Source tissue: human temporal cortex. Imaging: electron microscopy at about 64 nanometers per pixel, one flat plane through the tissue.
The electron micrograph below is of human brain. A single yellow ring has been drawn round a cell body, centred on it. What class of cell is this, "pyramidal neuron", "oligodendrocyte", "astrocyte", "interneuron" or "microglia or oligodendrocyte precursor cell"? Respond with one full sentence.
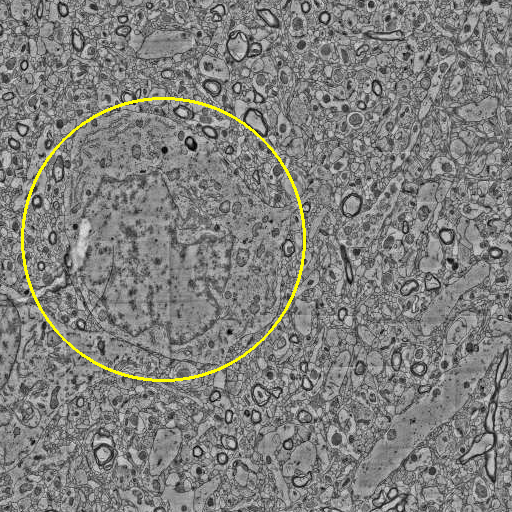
In the micrograph, the cell centred inside the yellow ring is an interneuron.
